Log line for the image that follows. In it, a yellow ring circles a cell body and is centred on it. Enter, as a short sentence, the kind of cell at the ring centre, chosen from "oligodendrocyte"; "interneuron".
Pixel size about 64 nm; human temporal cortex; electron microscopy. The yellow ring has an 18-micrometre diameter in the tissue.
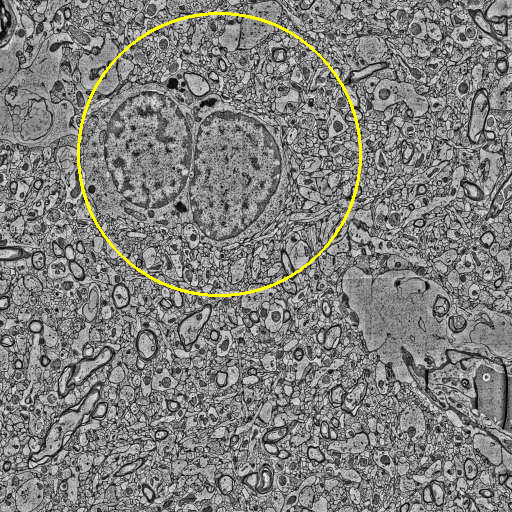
The ring centre is occupied by an oligodendrocyte.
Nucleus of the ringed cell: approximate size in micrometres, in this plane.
The ringed cell's nucleus measures approximately 8 by 6 micrometres in this plane.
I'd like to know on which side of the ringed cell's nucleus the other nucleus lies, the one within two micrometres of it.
The other nucleus is positioned to the upper left of it.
